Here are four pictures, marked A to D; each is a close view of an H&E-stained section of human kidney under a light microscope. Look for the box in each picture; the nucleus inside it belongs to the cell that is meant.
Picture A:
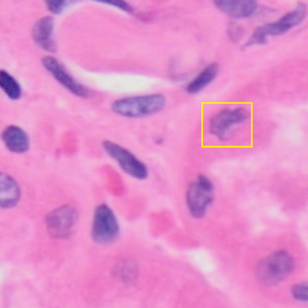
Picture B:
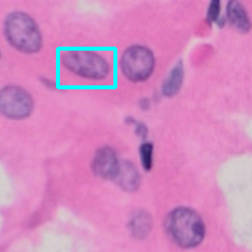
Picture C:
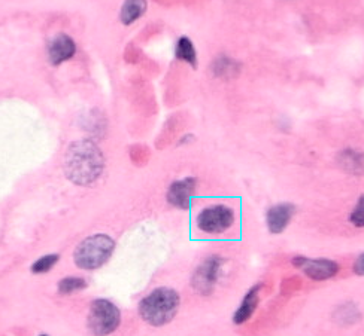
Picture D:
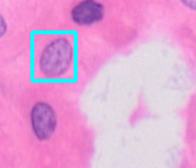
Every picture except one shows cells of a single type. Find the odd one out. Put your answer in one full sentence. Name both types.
Picture C is the odd one out: it shows a “loop of Henle or distal tubule cell”, while the others show proximal tubule cells.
